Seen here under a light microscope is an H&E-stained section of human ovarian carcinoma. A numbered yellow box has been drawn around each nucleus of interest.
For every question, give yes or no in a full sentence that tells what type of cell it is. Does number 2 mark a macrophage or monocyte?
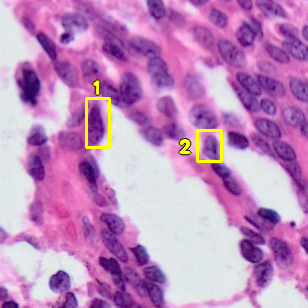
Yes, in the section, number 2 is a macrophage or monocyte.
